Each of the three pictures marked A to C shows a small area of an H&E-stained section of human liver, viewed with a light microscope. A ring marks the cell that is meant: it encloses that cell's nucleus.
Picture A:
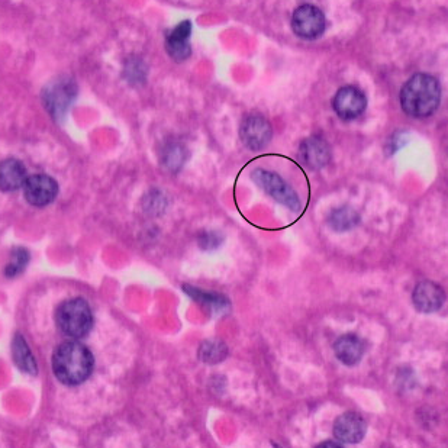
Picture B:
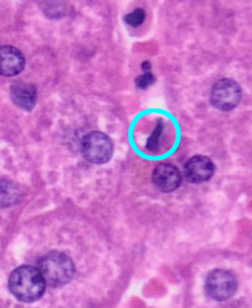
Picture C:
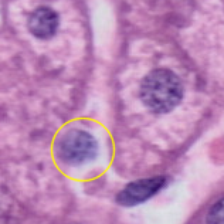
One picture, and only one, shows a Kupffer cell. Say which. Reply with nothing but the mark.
A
